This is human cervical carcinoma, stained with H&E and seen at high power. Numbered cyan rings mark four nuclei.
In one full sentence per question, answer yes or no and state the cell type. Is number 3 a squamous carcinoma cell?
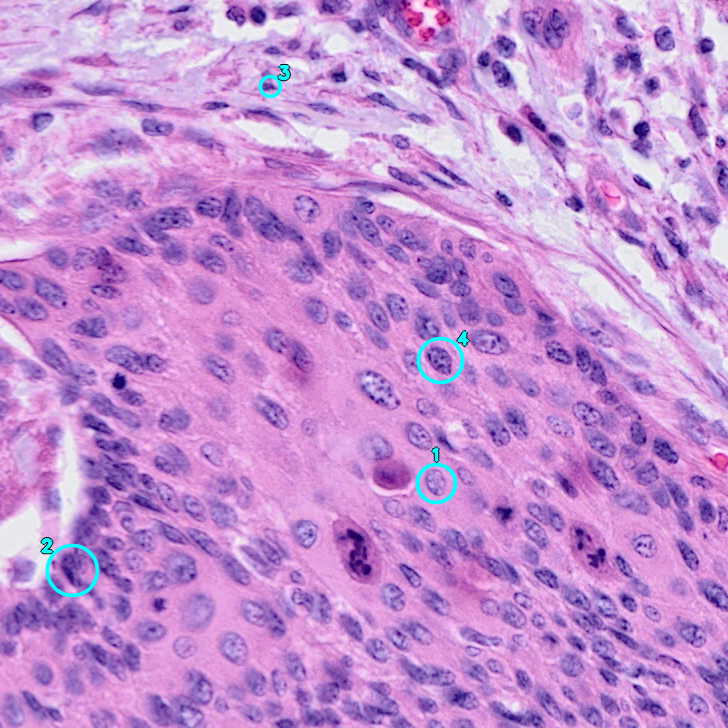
No, cell 3 should be read as a fibroblast instead of a squamous carcinoma cell.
